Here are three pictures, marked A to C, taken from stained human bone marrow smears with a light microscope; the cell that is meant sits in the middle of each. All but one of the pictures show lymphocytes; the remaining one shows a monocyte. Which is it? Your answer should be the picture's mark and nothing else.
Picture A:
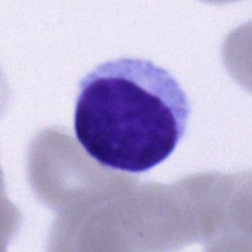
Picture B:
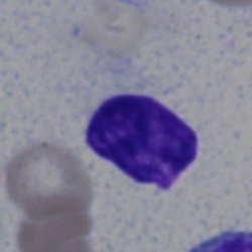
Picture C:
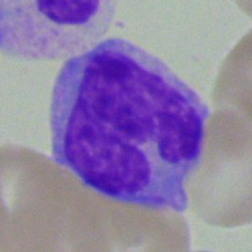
C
